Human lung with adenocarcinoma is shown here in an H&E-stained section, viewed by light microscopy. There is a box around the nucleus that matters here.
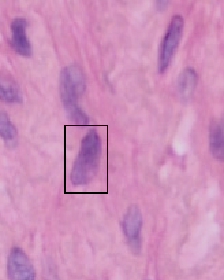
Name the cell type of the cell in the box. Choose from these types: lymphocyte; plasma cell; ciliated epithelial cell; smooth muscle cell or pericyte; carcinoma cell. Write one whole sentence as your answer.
The cell in the box appears to be a smooth muscle cell or pericyte.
